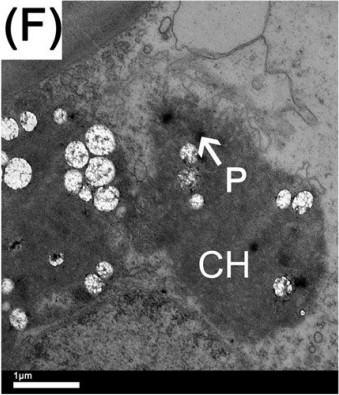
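The plastid appears swollen and irregular, its stroma dark and granular, and the ordered stacks of thylakoid membranes are hard to make out. Many round inclusions are scattered in and around it; unlike dense dark droplets, most look pale and vesiculated, filled with a fine light meshwork, a few with a dark rim or centre. The outline of the chloroplast is poorly defined against the surrounding cytoplasm, and the neighbouring vacuole contains irregular membranous strands, giving the cell a disorganised appearance.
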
